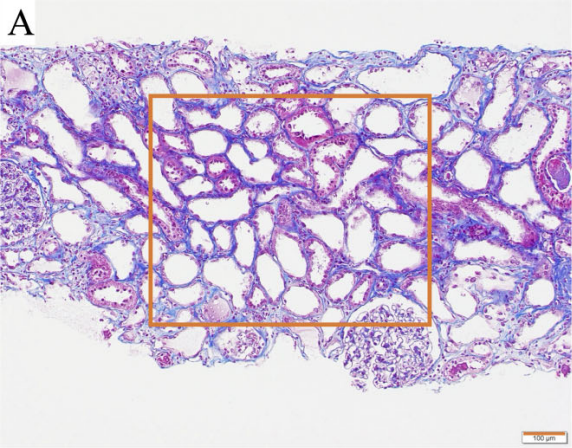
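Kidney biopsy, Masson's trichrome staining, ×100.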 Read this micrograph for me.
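This is a core of renal cortex containing many tubules and a few glomeruli at its edges. An orange box frames a field of tubules with enlarged, empty lumens and thin epithelial linings. The tubular cytoplasm stains pink to purple, while the interstitium between tubules stains blue. Glomeruli appear as rounded tufts near the lower and left margins of the core.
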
